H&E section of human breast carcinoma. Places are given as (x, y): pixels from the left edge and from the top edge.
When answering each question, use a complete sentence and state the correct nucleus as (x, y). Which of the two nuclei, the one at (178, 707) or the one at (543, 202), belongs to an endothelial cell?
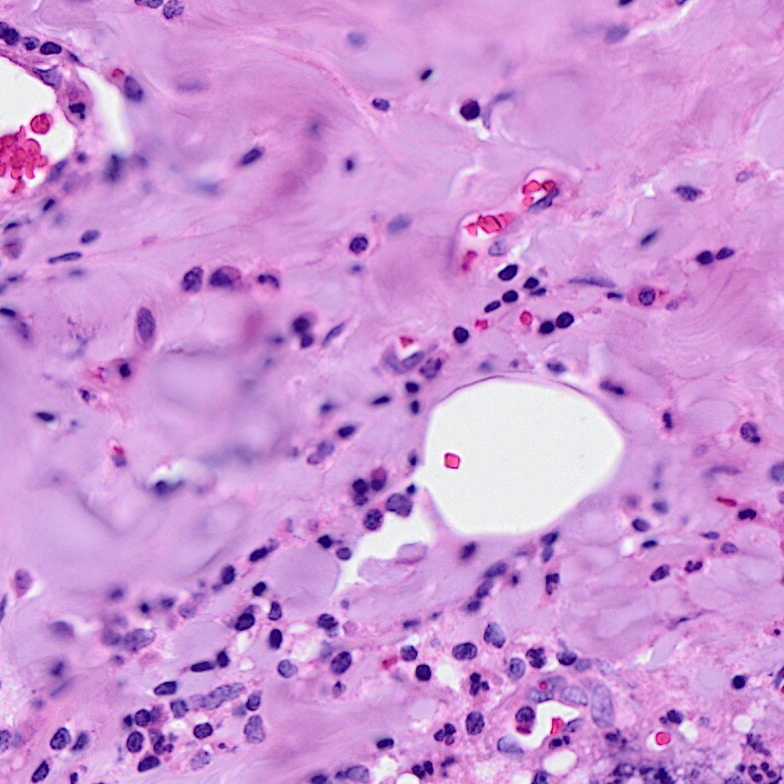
Of the two nuclei, the one sitting at (543, 202) belongs to an endothelial cell.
